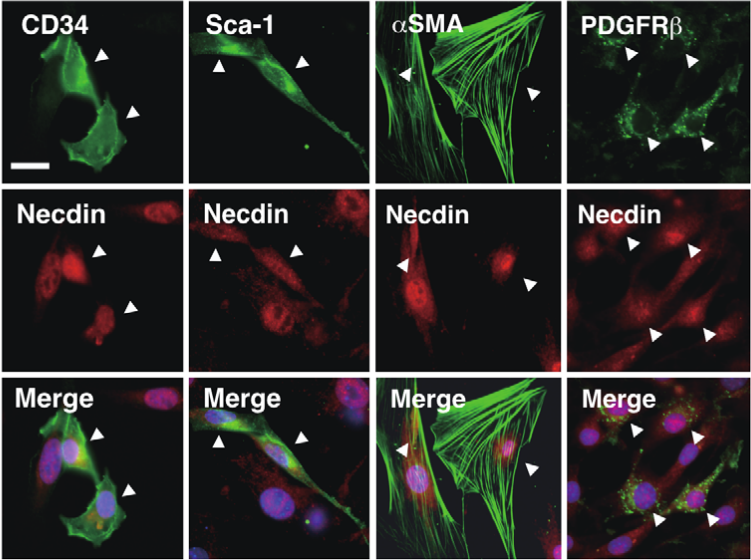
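The cells lie flat and spread on the dish, some broad and polygonal, others elongated and spindle-shaped. Each cell has a single oval nucleus, stained blue in the merged images. The red staining is strongest over the nuclei and fainter in the surrounding cytoplasm. The green staining differs between columns: it fills the whole cytoplasm in some, runs as long straight parallel fibres across the cells in another, and forms fine dots near the nucleus in the last. White arrowheads mark individual cells carrying both red and green staining.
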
